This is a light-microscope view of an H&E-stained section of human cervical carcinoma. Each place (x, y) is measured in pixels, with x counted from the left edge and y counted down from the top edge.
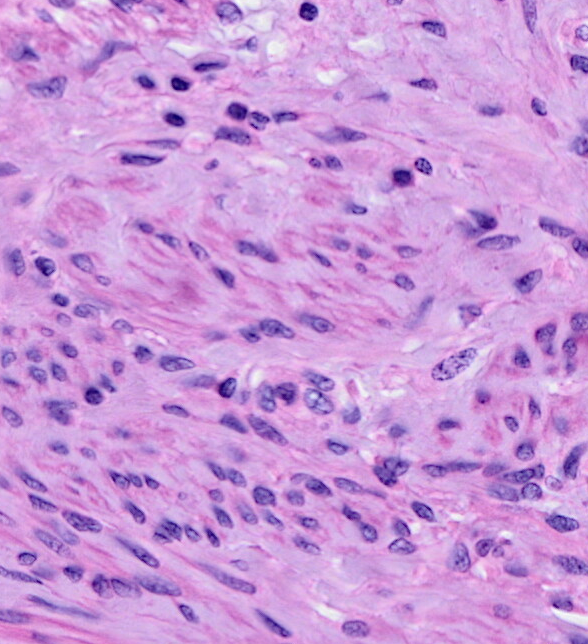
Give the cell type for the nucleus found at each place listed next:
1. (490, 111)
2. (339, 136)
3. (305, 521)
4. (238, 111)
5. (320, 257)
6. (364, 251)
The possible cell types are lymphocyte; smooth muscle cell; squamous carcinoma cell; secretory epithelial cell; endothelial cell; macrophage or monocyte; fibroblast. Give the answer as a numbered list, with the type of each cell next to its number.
1. fibroblast
2. fibroblast
3. smooth muscle cell
4. lymphocyte
5. smooth muscle cell
6. smooth muscle cell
